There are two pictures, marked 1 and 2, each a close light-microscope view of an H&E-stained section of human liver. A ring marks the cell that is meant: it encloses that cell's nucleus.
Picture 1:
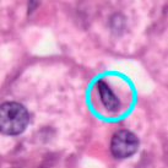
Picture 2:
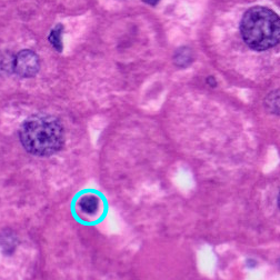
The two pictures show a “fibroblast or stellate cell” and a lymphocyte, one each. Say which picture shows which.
1: fibroblast or stellate cell
2: lymphocyte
